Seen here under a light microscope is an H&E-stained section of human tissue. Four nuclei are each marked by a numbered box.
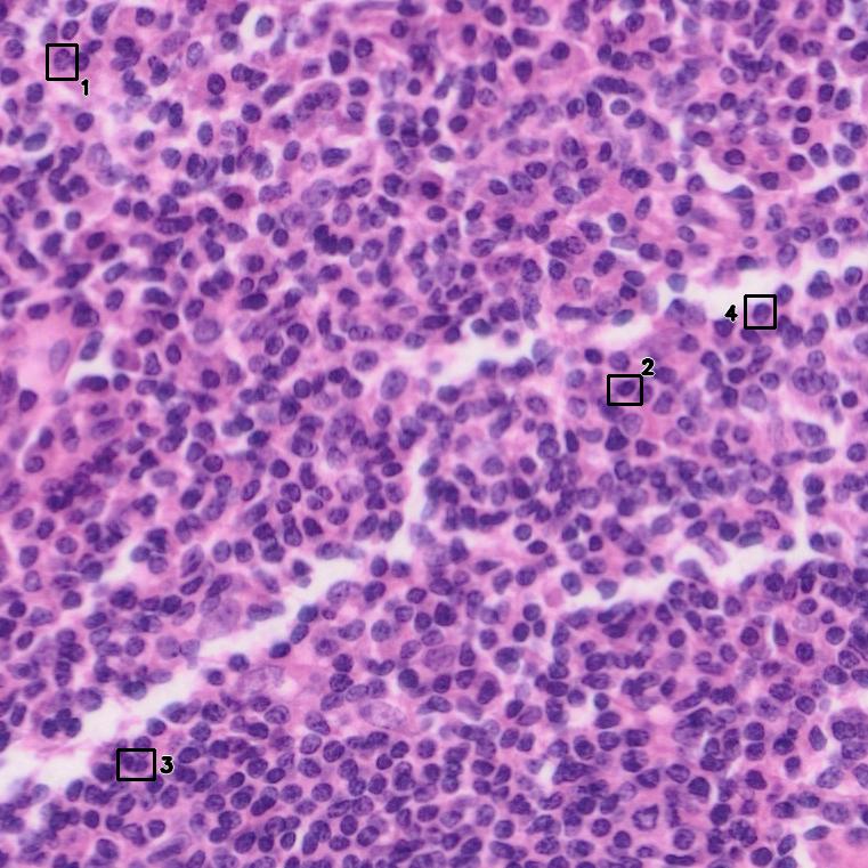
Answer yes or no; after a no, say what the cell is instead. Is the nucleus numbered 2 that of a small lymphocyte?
Yes.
